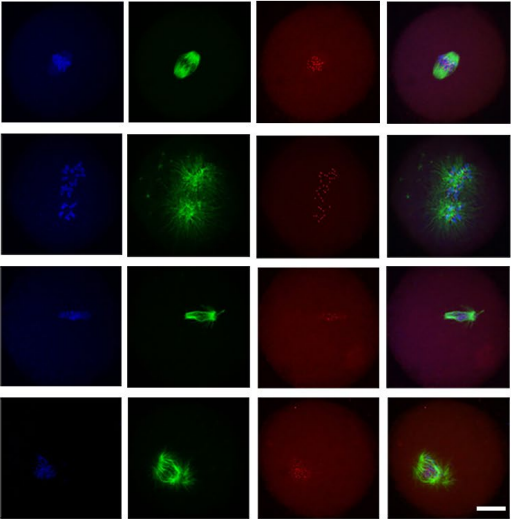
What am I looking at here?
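Large round oocytes, each holding one meiotic spindle, shown in separate colour channels and merged. Top row: a compact barrel-shaped bipolar spindle with the chromosomes gathered in a band across its middle, red kinetochore dots along that band. Lower rows show disordered spindles. In one, the microtubules form two spread radiating asters, with chromosomes scattered in a broad field between and around them and kinetochore dots widely dispersed. In another, the spindle is long and narrow with the chromosomes squeezed into a thin line. In the last, microtubules form loose, curved, irregular bundles around a small clump of chromosomes.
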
